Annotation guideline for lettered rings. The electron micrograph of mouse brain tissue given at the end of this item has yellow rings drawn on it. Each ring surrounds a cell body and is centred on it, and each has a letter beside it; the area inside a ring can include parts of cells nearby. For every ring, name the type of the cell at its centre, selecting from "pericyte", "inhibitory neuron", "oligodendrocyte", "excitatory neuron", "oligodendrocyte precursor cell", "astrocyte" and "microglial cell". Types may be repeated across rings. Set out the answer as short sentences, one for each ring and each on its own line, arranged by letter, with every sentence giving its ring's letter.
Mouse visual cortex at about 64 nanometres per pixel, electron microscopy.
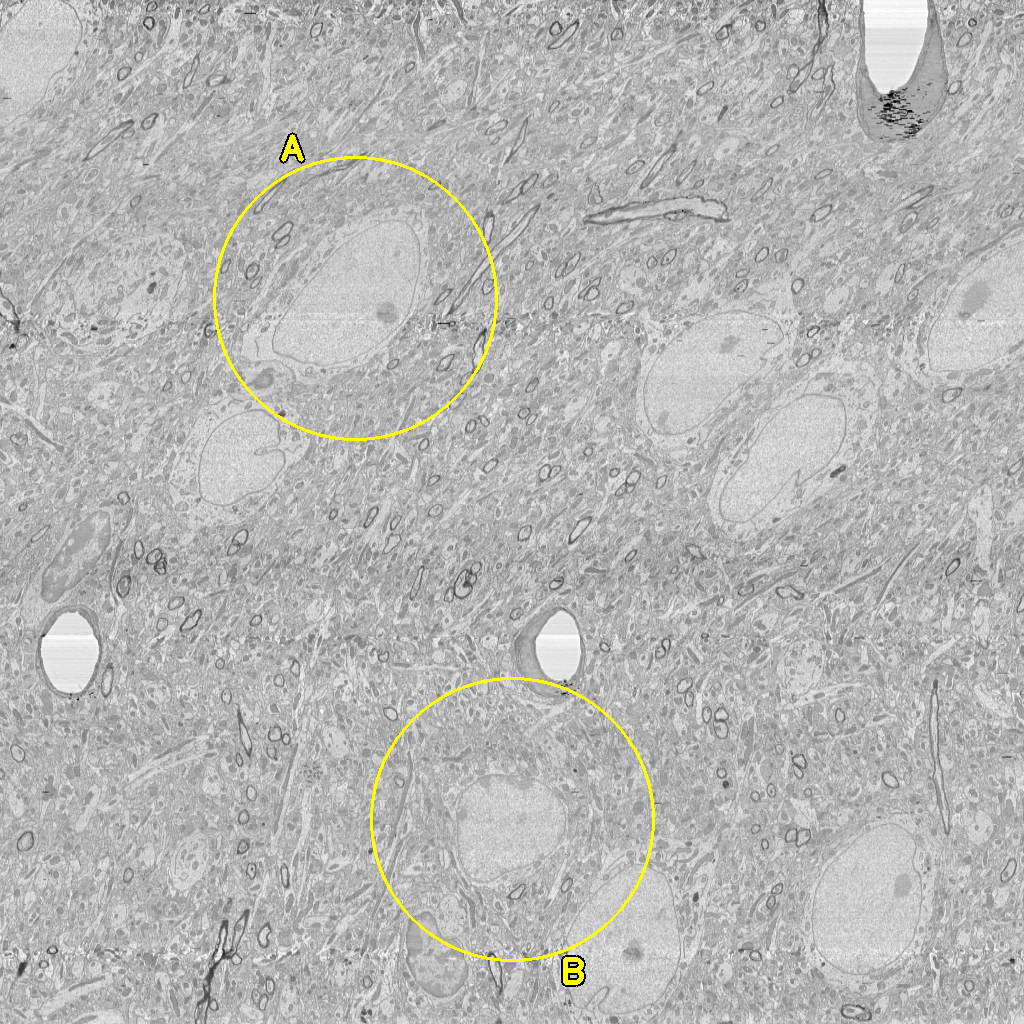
The cell centred in ring A is an excitatory neuron.
The cell centred in ring B is an astrocyte.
